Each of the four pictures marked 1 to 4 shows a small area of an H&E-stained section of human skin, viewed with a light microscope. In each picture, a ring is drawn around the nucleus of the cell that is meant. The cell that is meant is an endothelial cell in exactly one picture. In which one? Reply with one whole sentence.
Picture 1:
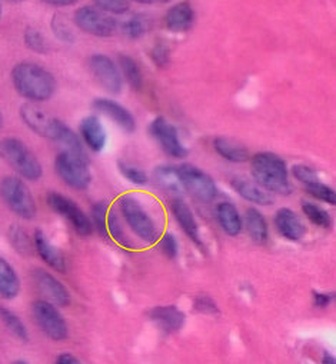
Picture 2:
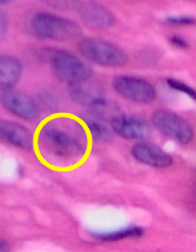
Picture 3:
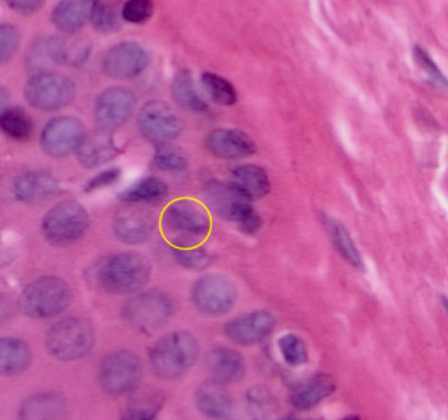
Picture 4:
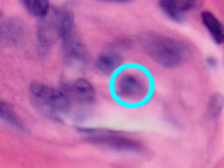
The picture with the endothelial cell is 4.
